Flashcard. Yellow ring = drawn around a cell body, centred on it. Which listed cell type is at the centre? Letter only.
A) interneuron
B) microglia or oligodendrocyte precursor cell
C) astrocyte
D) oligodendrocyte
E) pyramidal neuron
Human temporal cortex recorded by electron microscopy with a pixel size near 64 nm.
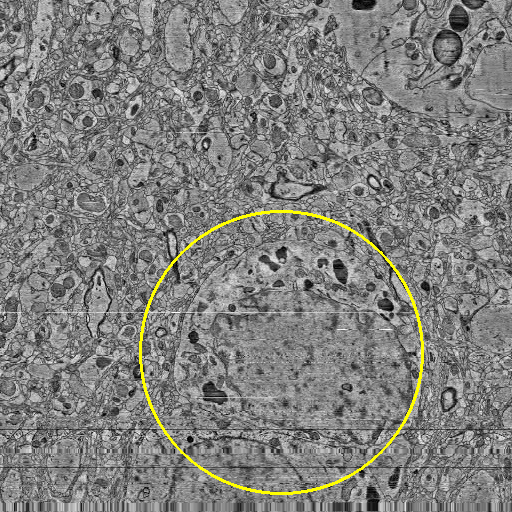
A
